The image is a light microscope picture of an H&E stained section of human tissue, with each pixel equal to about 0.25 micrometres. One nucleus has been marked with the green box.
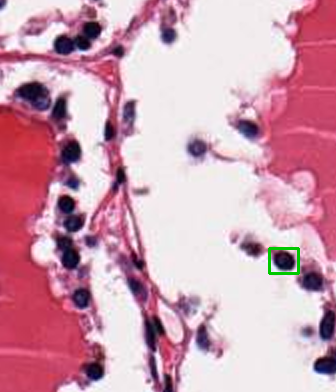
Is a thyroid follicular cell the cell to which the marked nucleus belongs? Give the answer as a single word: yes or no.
yes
